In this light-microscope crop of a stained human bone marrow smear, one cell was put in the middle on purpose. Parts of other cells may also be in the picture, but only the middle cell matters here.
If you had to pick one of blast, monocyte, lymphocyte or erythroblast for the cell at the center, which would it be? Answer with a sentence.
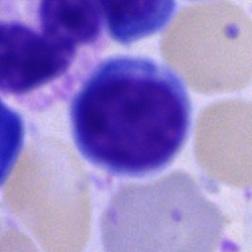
The cell at the middle of the crop is recognized as a lymphocyte.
